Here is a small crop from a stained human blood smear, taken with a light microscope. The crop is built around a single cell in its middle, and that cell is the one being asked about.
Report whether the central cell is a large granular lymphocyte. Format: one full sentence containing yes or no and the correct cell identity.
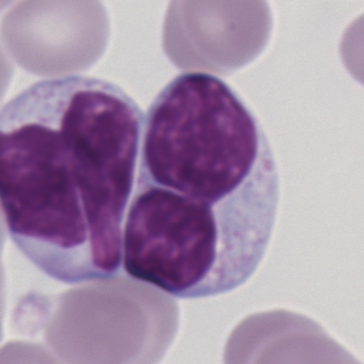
Yes, the cell found in the middle is a large granular lymphocyte.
